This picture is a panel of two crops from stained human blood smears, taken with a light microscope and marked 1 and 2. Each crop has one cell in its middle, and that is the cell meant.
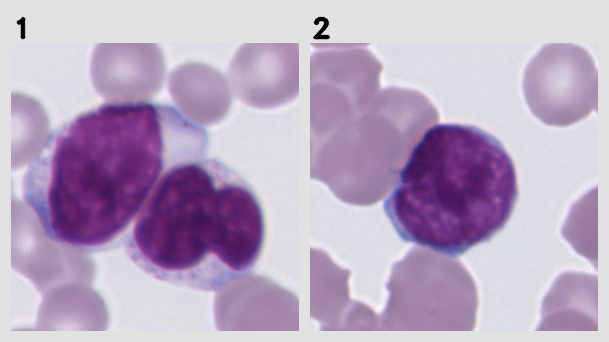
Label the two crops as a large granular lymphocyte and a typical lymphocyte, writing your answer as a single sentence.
Crop 1 contains a large granular lymphocyte, and crop 2, a typical lymphocyte.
